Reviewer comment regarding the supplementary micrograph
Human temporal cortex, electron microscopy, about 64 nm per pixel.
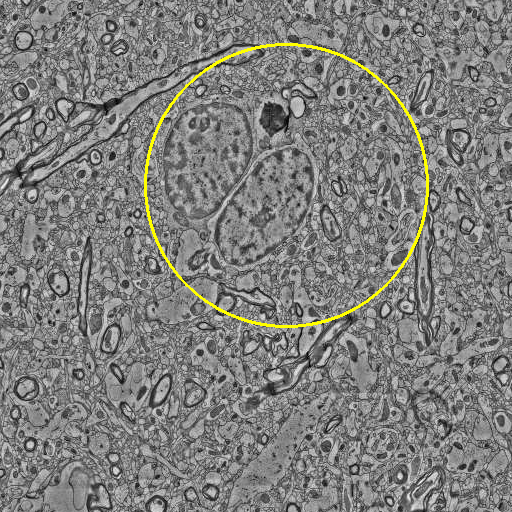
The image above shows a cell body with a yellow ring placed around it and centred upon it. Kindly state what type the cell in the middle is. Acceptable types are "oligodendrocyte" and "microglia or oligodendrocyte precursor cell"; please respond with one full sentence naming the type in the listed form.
In the image above, the cell on which the yellow ring is centred is a microglial cell or oligodendrocyte precursor cell.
